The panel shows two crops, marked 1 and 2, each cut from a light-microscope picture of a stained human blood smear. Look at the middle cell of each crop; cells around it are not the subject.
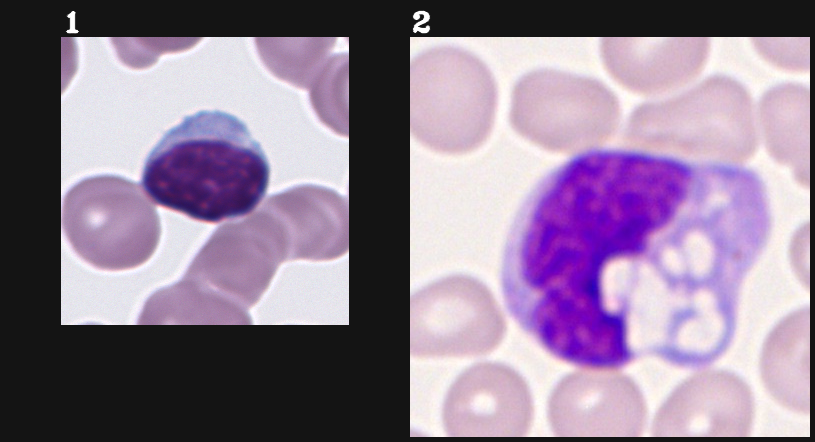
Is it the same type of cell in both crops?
no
